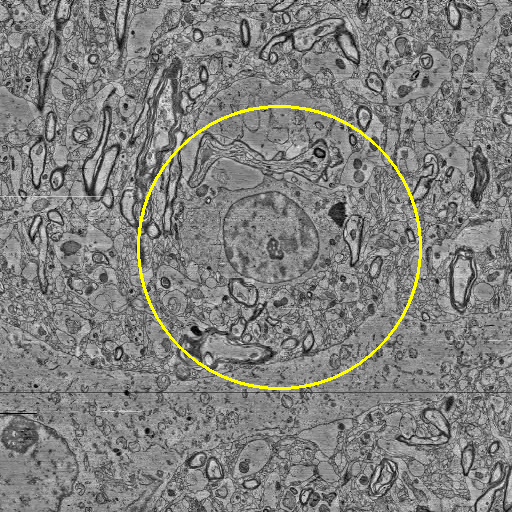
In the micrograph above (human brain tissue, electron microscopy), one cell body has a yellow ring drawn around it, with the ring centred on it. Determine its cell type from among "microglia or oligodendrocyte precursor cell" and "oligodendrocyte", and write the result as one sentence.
The cell whose body is ringed is an oligodendrocyte.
